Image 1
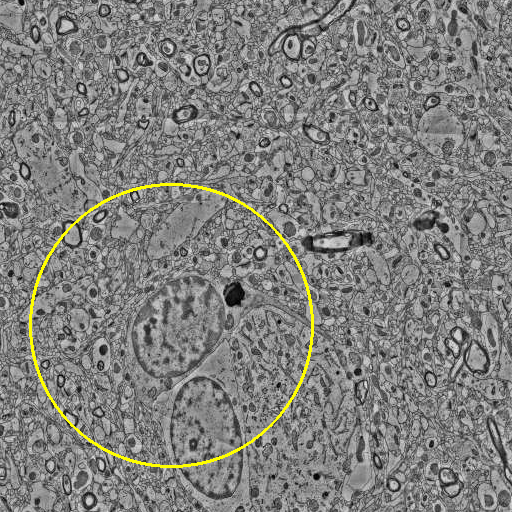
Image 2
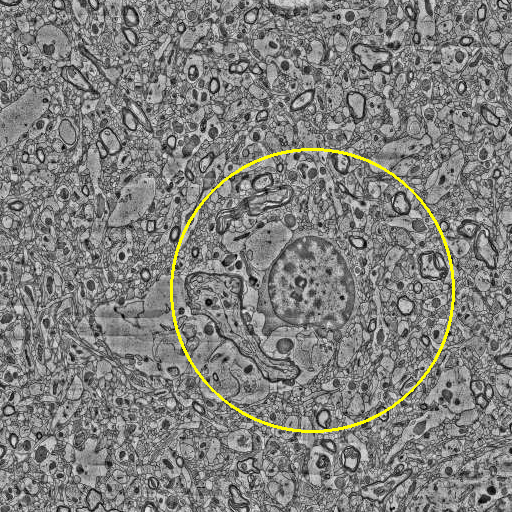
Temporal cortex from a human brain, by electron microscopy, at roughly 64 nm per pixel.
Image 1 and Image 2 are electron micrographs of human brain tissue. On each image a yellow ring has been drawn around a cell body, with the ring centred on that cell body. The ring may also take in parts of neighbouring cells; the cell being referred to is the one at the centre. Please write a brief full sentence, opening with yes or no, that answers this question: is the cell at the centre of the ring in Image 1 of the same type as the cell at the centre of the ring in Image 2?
Yes, both cells are of the same type.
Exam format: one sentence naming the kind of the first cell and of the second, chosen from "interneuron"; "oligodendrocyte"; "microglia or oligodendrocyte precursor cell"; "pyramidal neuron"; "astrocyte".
Both rings mark an oligodendrocyte, one in each picture.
